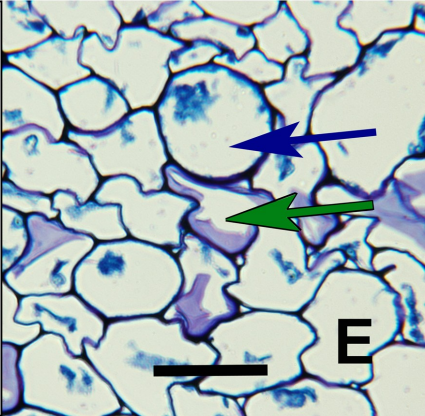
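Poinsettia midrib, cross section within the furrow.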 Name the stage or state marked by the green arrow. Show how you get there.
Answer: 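Concave cell. The cell at the arrow has an irregular outline with an inward-folded wall. Its contents stain purple.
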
